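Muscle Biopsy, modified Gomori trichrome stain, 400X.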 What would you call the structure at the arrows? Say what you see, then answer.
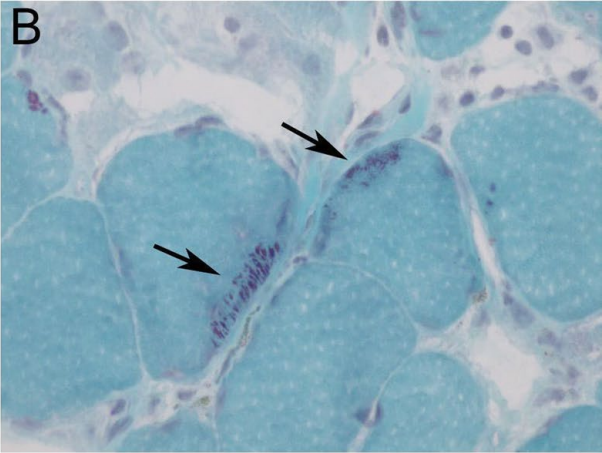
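Dark purple rod-like granules lie clustered in the fibers. The clusters sit at the fiber edge beneath the cell border. The rest of the fiber cytoplasm is blue-green.
Nemaline bodies.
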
